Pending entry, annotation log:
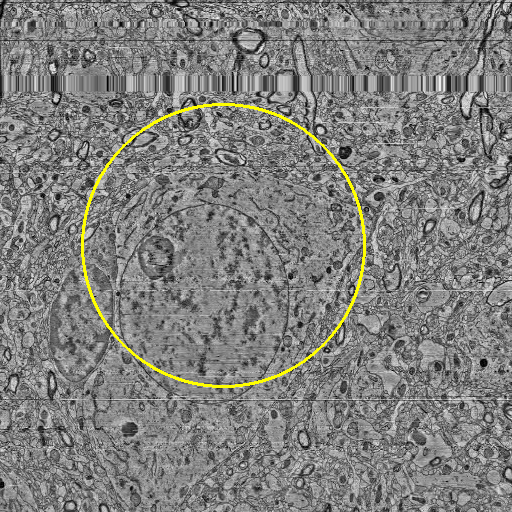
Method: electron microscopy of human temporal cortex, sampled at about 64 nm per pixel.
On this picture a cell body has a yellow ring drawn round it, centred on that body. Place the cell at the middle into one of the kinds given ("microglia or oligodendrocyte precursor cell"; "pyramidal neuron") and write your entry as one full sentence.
The cell body at the middle of the yellow ring belongs to a pyramidal neuron.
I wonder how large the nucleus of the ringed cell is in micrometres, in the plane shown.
Approximately 13 micrometres long and 11 micrometres wide, in this plane.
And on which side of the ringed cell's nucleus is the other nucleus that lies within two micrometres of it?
The other nucleus is located to the left of it.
